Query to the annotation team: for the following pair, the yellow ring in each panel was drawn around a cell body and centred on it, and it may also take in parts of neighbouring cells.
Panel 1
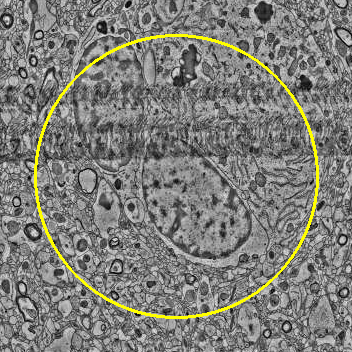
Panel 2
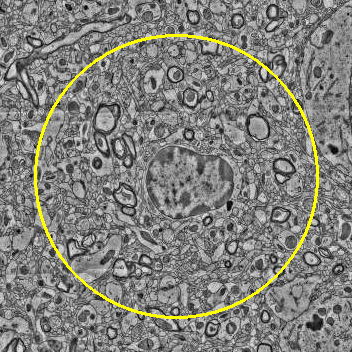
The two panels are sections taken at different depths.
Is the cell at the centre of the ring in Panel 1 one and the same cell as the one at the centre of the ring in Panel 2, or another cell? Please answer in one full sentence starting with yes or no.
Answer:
No, marked by the two rings are two different cells.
